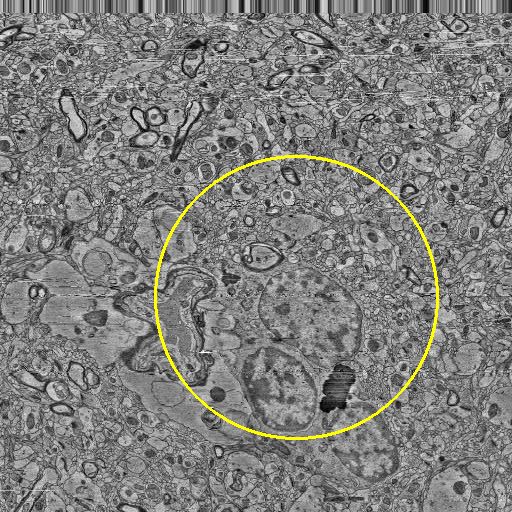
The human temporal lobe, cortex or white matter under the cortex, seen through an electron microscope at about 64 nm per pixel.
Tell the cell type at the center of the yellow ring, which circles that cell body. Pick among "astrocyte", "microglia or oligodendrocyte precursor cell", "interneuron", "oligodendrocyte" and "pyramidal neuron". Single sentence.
The ring is centered on the body of an oligodendrocyte.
